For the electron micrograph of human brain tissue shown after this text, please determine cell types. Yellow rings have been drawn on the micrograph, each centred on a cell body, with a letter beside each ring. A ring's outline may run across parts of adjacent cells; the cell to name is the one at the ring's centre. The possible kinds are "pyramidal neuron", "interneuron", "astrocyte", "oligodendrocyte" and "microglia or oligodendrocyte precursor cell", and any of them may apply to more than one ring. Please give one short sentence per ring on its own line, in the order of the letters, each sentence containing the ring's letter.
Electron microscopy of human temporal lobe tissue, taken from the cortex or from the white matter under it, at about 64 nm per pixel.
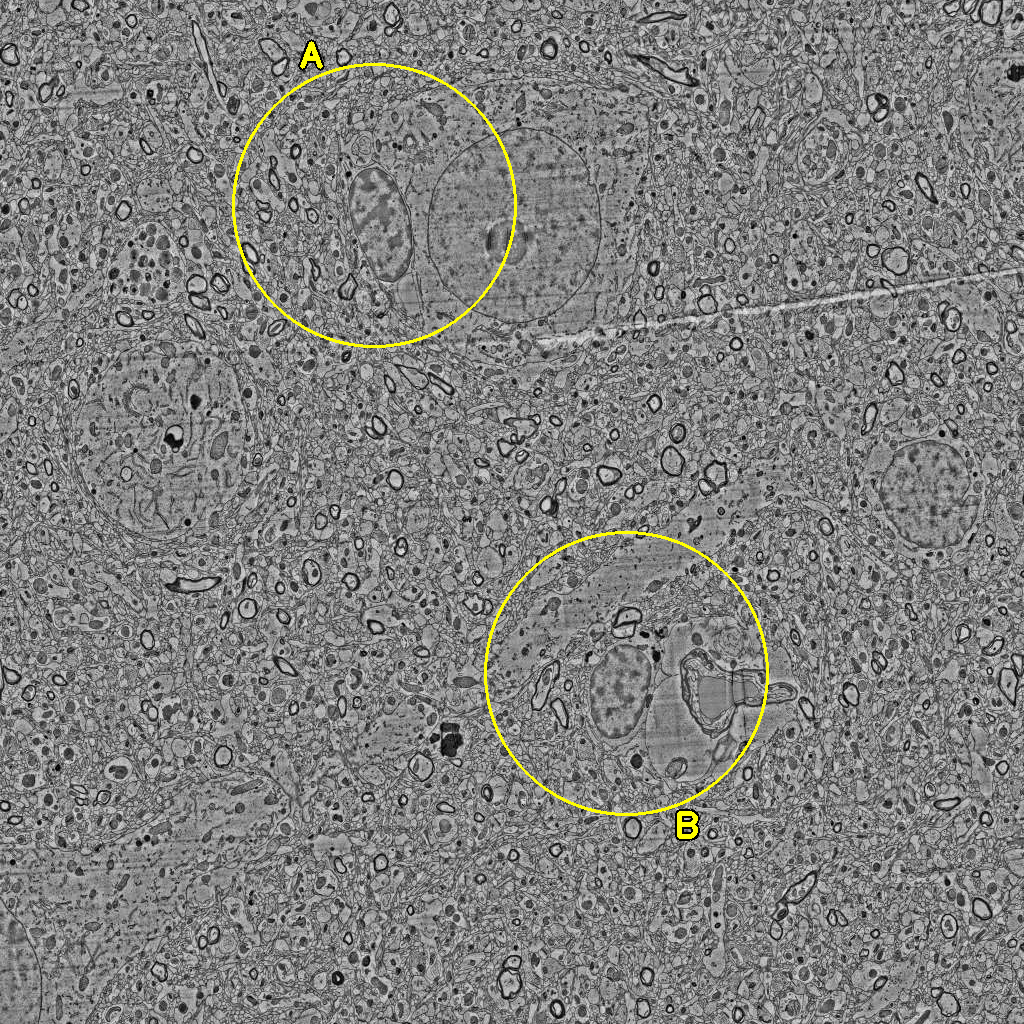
Ring A is set around a microglial cell or oligodendrocyte precursor cell.
Ring B is set around an oligodendrocyte.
